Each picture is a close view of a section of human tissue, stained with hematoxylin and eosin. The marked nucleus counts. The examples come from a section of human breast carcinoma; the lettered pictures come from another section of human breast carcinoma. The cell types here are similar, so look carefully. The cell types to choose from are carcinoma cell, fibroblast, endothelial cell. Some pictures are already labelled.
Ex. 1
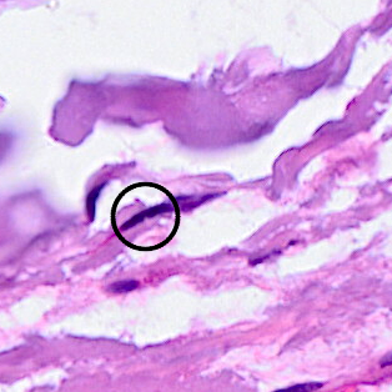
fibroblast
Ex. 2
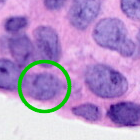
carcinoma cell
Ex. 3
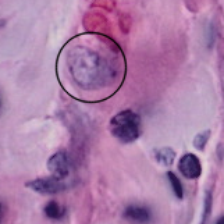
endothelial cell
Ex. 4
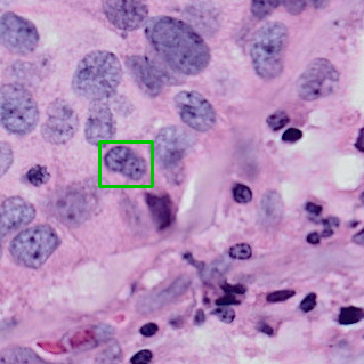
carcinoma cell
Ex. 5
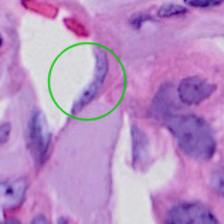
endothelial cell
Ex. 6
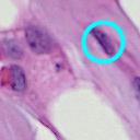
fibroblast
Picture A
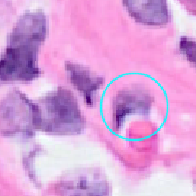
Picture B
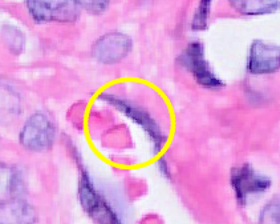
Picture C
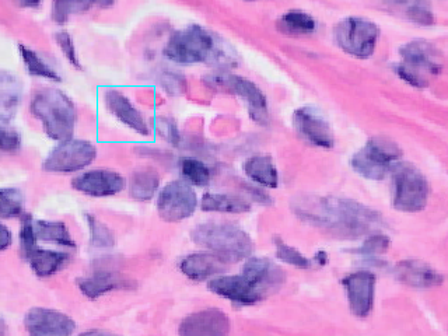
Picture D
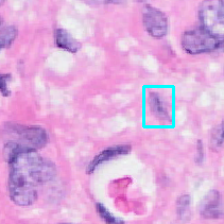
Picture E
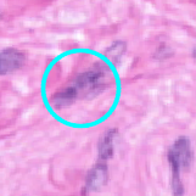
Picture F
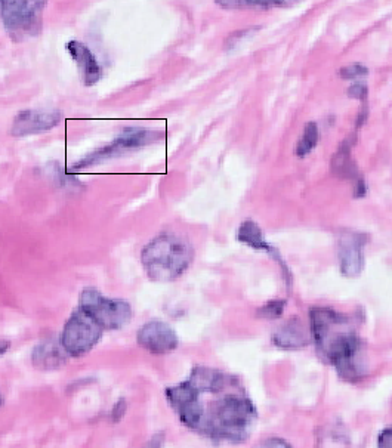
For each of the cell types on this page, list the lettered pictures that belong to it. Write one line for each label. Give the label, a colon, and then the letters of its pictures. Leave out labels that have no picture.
fibroblast: D, E, F
endothelial cell: A, B, C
